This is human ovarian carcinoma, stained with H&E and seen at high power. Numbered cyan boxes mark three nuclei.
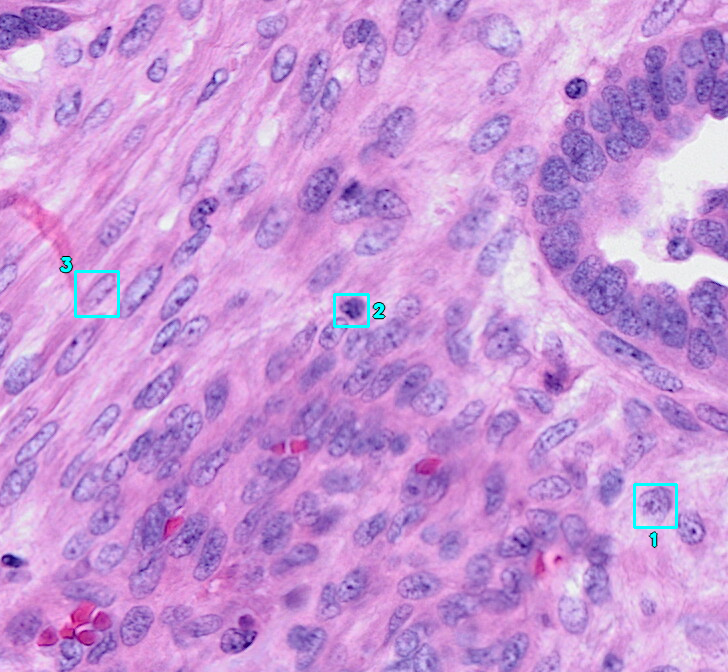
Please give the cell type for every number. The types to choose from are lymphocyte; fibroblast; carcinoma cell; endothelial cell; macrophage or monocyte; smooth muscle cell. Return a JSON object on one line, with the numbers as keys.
{"1": "fibroblast", "2": "lymphocyte", "3": "fibroblast"}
